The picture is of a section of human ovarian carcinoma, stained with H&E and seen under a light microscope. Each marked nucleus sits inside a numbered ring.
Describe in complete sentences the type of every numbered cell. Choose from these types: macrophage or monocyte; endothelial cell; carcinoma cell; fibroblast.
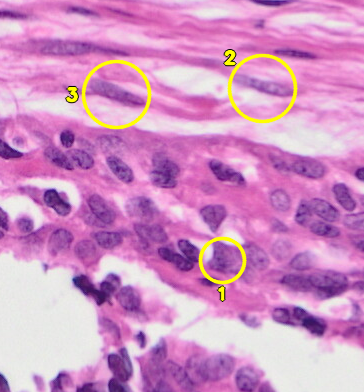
Cell 1 is a carcinoma cell, cell 2 is a fibroblast and cell 3 is a fibroblast.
